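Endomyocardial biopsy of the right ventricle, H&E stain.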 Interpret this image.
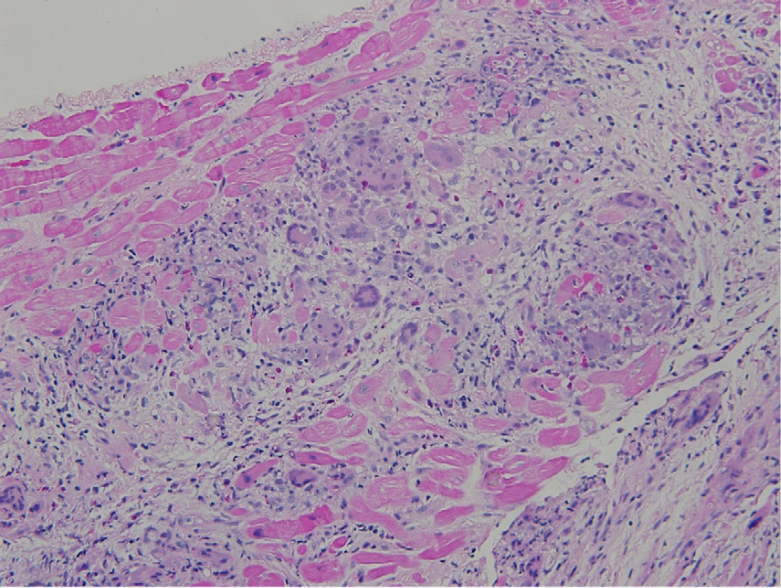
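Heart muscle with extensive lymphoplasmacytic inflammatory infiltrate and abundant multinucleated giant cells. Pink striated muscle fibres run along the upper edge and at the lower part, but in the middle they are separated and replaced by a dense sheet of small round cells with dark nuclei. Among them lie several large giant cells with abundant pale pink cytoplasm and many nuclei, some clustered, some in a ring. Scattered cells with bright red granular cytoplasm are mixed in. Some muscle fibres are fragmented and isolated within the infiltrate, and looser pale interstitial tissue lies between groups of fibres.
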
